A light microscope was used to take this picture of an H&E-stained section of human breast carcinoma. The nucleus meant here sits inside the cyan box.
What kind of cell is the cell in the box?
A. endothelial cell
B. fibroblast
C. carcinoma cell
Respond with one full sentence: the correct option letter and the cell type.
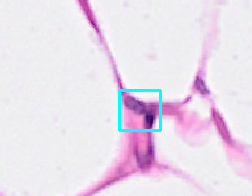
It is option A that is correct, the cell in the box being an endothelial cell.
